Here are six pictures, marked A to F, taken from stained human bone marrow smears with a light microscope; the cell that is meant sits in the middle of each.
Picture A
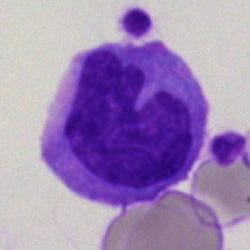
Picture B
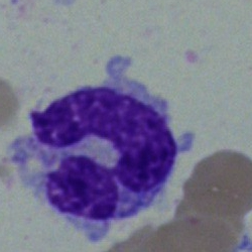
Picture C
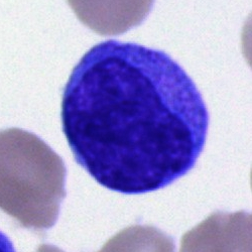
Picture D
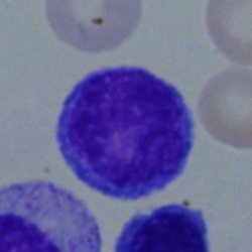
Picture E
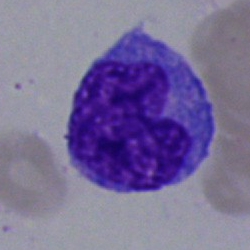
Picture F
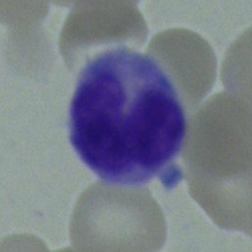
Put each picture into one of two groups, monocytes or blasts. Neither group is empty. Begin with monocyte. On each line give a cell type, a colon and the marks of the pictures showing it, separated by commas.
monocyte: A, B, E, F
blast: C, D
